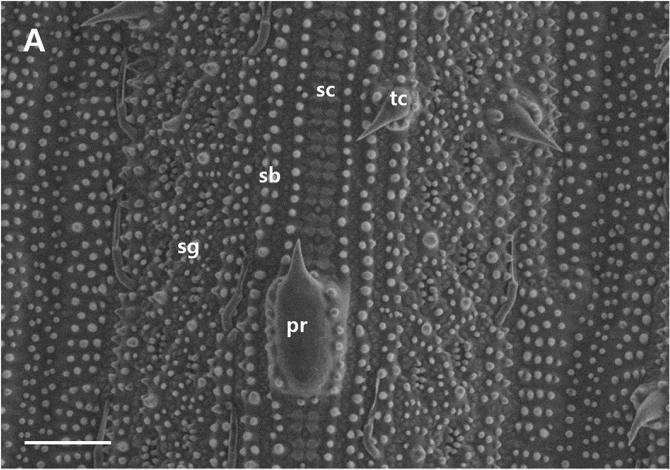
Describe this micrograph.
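This surface view of a grass leaf epidermis shows cells arranged in parallel longitudinal files, densely covered with small rounded papillae. One file is made of short, regularly spaced dumbbell-shaped silica cells, while other files hold stomata flanked by guard cells. Pointed, thorn-like trichomes project at an angle from the surface, and a large elongated protuberance with a pointed tip sits in one of the files.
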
